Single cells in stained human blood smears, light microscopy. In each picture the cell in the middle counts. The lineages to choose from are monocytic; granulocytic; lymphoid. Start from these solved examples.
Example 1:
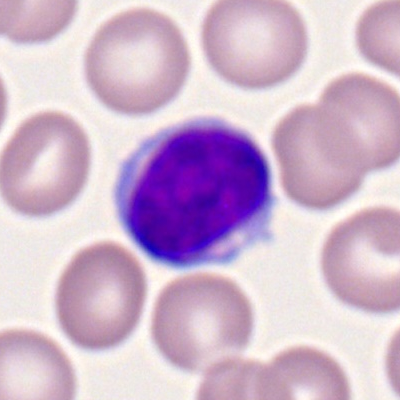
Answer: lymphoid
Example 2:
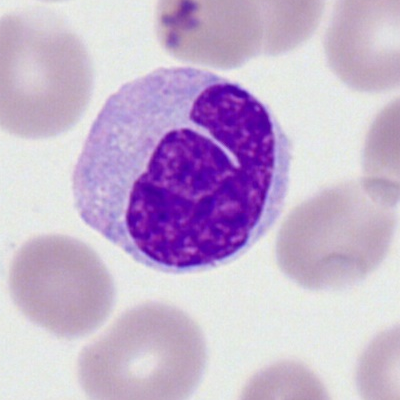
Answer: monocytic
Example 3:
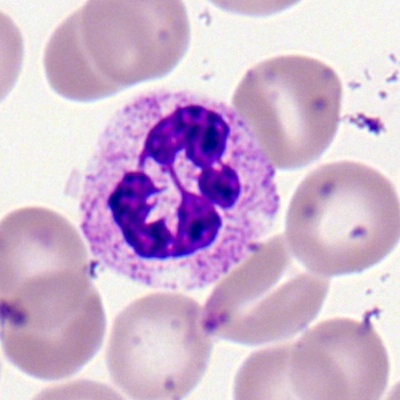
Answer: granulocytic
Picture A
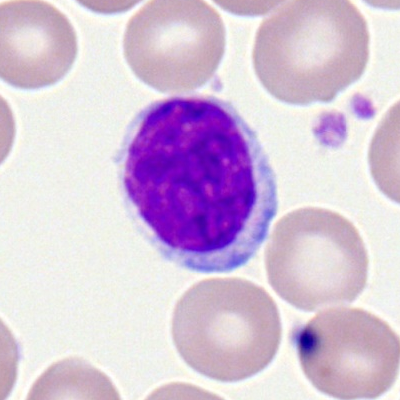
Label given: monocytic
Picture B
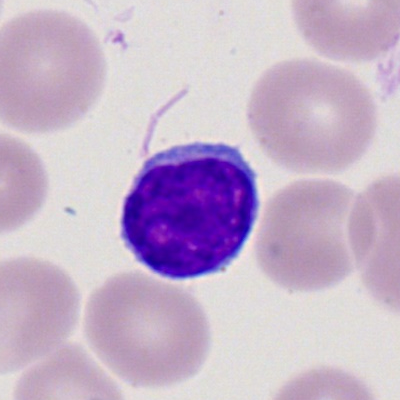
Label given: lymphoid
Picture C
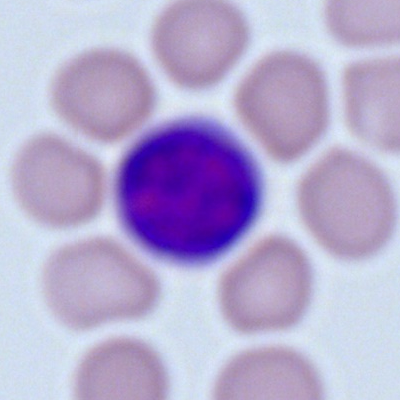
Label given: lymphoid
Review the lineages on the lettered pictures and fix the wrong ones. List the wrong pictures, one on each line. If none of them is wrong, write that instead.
A: change monocytic to lymphoid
